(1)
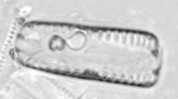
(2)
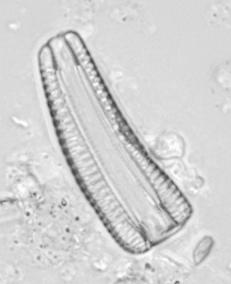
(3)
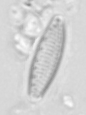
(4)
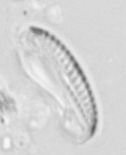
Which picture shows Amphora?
Picture 4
